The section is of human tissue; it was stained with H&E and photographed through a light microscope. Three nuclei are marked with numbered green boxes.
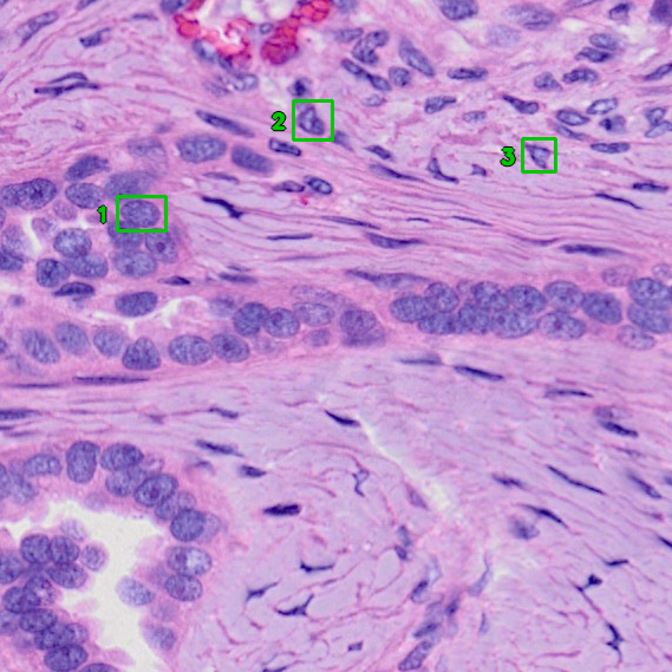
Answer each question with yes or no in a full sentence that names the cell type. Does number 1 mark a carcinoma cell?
Yes, the cell with its nucleus marked 1 is a carcinoma cell.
